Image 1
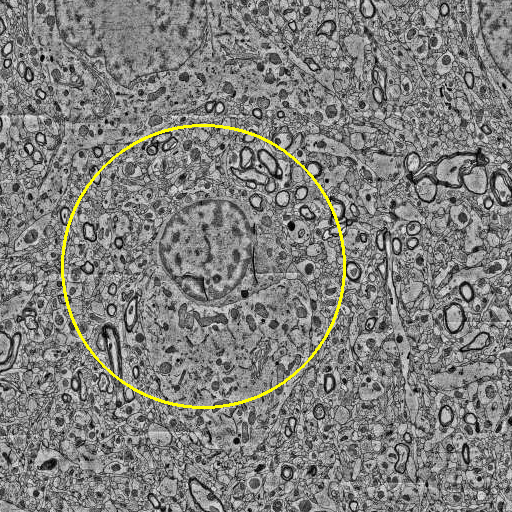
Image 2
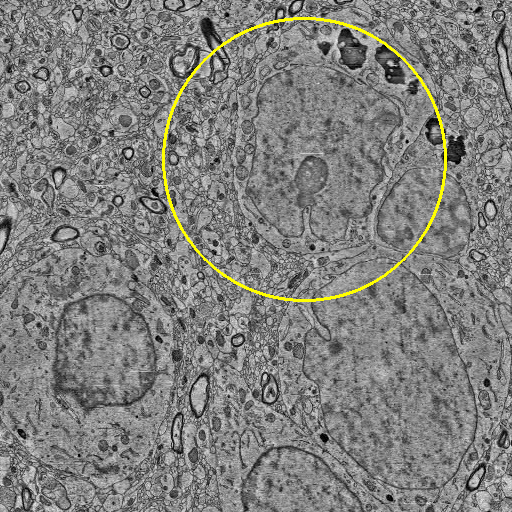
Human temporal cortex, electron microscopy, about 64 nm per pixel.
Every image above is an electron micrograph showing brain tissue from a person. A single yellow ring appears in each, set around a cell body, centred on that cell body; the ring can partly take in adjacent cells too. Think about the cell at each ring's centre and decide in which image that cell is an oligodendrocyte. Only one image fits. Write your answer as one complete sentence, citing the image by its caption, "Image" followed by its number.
Image 1 is the one whose ringed central cell fits the description.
